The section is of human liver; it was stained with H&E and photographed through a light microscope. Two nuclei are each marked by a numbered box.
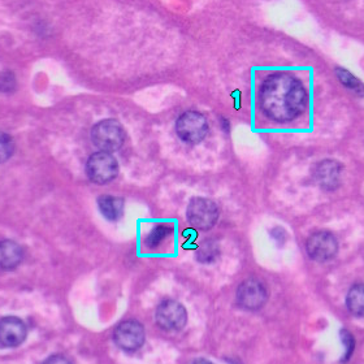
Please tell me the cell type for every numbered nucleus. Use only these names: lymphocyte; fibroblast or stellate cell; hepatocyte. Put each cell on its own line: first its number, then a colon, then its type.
1: hepatocyte
2: fibroblast or stellate cell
